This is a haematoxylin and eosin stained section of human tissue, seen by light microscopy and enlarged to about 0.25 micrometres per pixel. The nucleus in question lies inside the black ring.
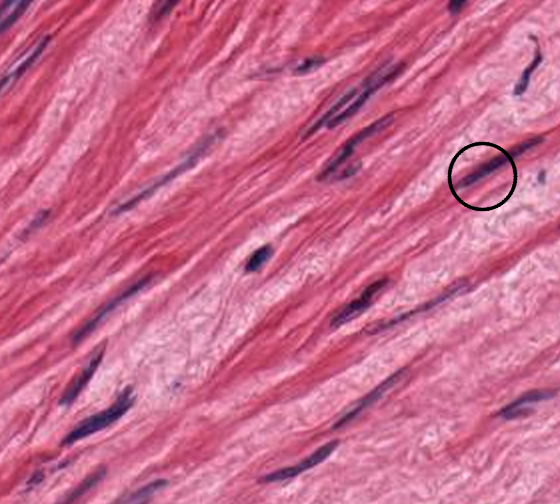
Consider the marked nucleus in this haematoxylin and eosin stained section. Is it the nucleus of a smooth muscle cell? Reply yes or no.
yes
